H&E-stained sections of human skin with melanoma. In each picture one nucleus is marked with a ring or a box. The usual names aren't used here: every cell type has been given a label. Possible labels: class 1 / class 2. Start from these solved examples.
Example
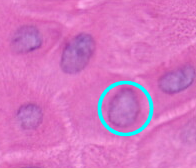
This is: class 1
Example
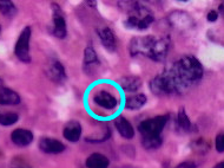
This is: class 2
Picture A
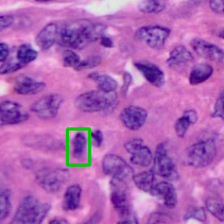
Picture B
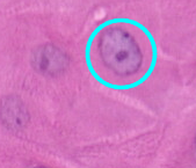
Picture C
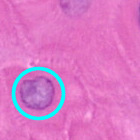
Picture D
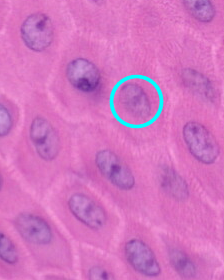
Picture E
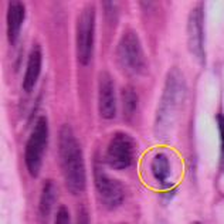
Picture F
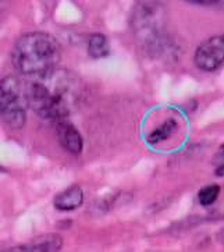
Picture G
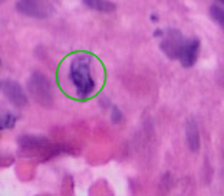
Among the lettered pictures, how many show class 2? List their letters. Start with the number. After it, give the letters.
4, namely A, E, F, G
